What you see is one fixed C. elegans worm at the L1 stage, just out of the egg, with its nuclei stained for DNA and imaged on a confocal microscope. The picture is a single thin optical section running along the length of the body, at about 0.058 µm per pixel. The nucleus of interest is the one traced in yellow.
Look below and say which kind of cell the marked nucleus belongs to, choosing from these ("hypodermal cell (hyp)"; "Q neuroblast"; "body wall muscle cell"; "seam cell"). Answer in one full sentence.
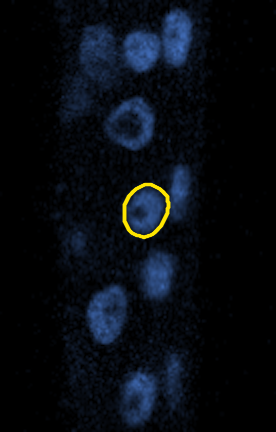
The nucleus comes from a seam cell.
